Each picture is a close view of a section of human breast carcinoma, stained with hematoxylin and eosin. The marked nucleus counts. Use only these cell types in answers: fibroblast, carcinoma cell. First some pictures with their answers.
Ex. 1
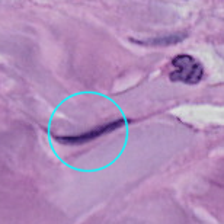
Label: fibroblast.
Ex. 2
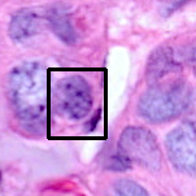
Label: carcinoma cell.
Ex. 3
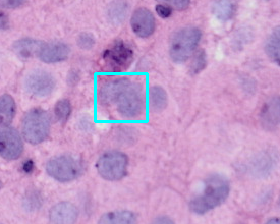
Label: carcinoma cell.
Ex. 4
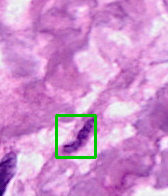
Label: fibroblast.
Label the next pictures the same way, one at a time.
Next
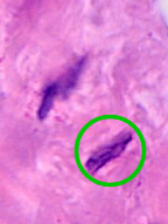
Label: fibroblast.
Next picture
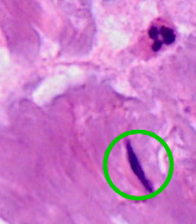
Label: fibroblast.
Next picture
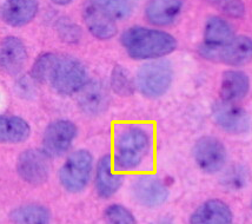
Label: carcinoma cell.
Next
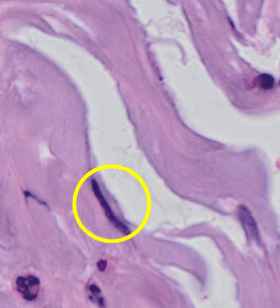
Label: fibroblast.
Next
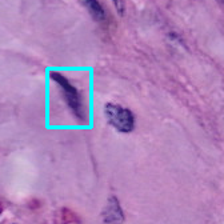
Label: fibroblast.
